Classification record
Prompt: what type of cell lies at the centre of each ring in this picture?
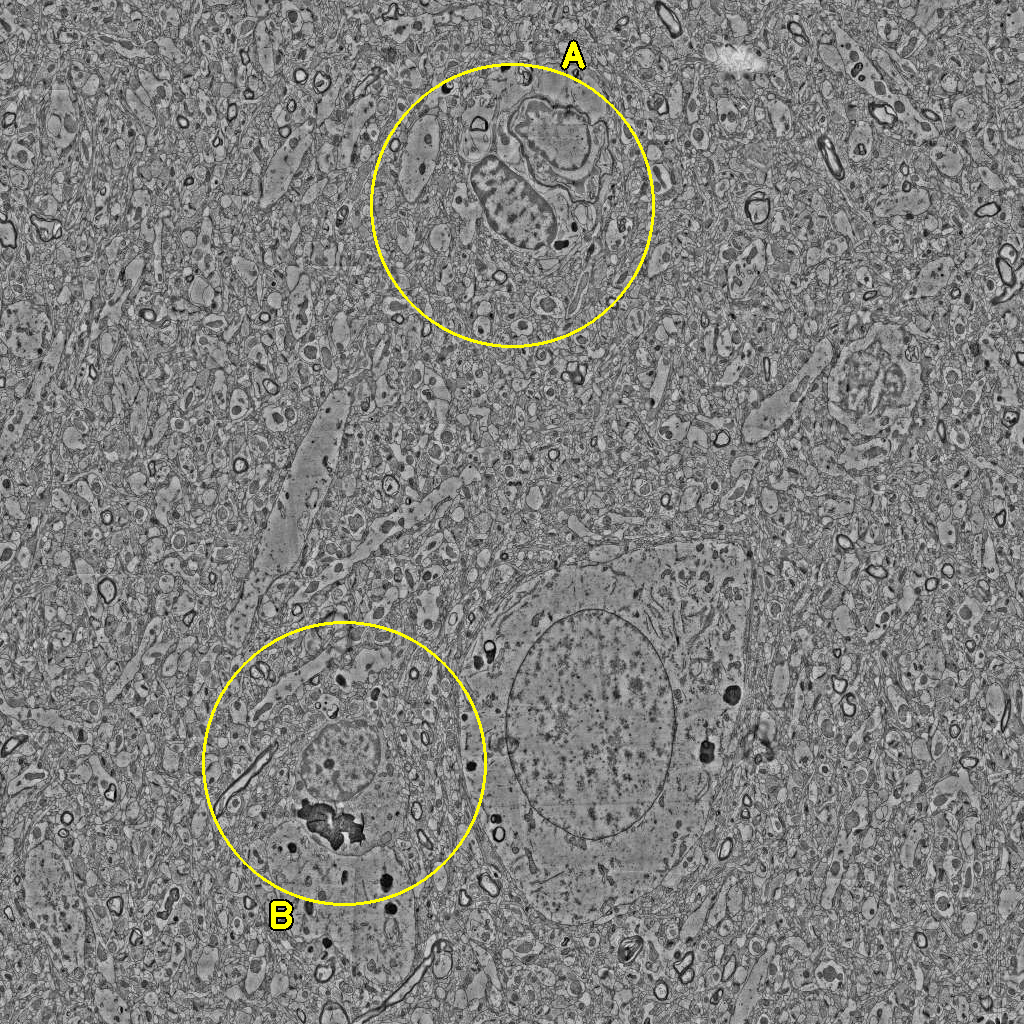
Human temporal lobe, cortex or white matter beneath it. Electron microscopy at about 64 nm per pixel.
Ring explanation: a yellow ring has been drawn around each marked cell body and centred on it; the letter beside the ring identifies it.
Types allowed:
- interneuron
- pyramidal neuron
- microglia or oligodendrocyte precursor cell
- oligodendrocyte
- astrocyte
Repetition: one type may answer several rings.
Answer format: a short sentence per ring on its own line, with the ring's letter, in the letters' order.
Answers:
Ring A shows a microglial cell or oligodendrocyte precursor cell at its centre.
Ring B shows an oligodendrocyte at its centre.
